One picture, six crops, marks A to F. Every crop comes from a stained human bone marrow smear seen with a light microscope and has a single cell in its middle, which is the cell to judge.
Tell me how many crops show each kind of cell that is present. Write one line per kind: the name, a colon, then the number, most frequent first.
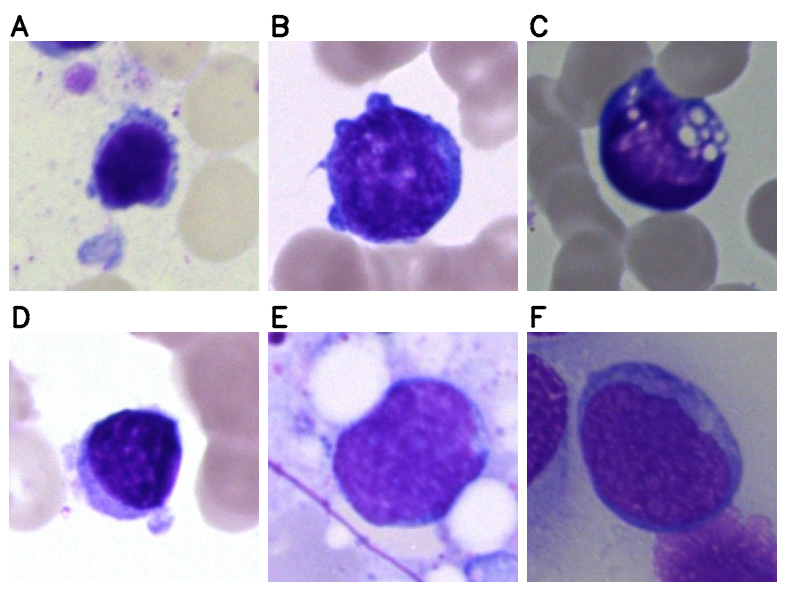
blast: 4
lymphocyte: 2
